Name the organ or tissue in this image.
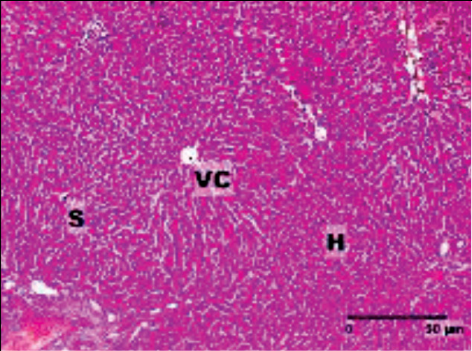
liver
